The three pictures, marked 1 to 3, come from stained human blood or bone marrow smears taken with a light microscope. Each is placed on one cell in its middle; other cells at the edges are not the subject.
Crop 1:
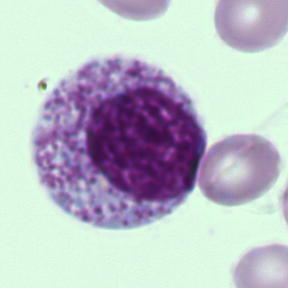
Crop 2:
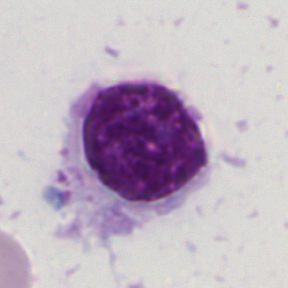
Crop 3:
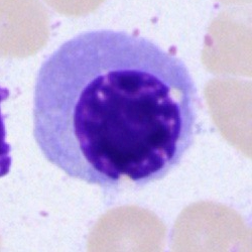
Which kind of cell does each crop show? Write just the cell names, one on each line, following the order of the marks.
myelocyte
plasma cell
erythroblast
